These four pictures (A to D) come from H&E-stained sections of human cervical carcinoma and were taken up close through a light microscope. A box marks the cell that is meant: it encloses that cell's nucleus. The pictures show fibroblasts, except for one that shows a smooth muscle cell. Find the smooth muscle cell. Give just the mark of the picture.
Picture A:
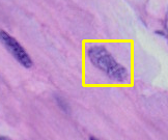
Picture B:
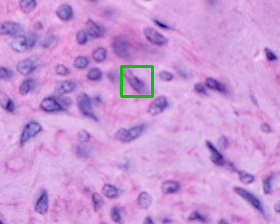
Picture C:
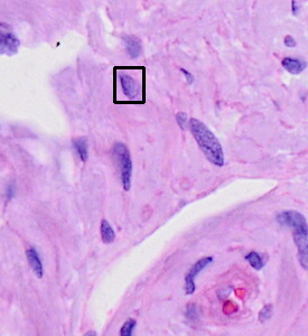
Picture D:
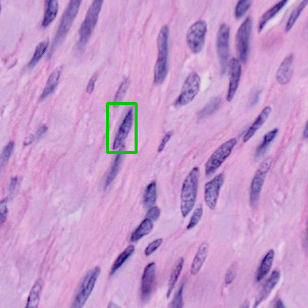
B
